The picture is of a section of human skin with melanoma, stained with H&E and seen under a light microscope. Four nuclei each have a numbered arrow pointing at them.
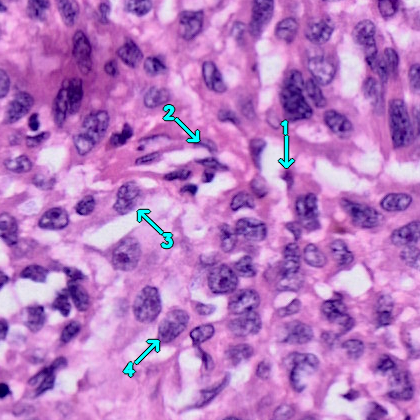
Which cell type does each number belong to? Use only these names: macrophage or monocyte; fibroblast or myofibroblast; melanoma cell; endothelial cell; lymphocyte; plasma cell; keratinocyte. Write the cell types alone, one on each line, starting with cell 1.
melanoma cell
endothelial cell
melanoma cell
melanoma cell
